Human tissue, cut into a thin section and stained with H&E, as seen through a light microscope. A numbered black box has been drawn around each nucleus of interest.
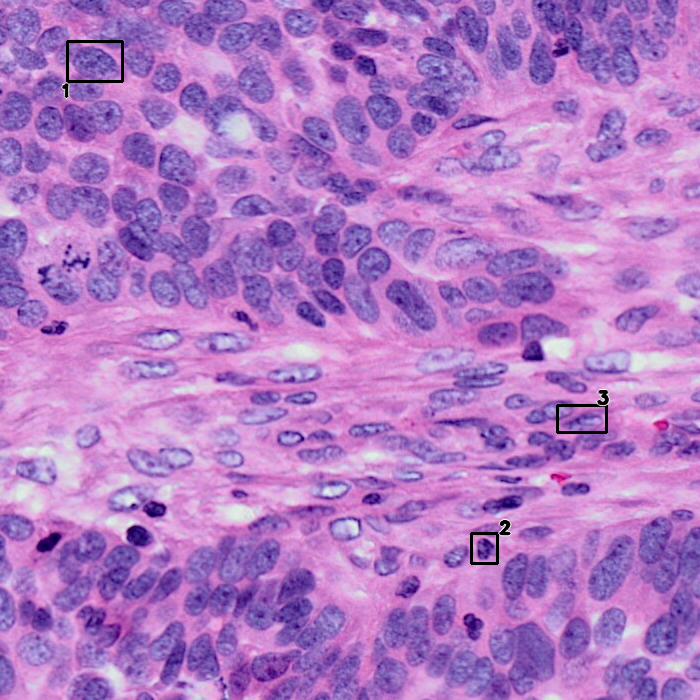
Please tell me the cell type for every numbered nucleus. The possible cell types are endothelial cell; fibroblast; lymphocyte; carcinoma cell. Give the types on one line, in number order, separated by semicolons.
carcinoma cell; lymphocyte; endothelial cell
